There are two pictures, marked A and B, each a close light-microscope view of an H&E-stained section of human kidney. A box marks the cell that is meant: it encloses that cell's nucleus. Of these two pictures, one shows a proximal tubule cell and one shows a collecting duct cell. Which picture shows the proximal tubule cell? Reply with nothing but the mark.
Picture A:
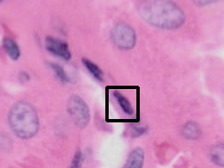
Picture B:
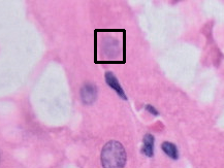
B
